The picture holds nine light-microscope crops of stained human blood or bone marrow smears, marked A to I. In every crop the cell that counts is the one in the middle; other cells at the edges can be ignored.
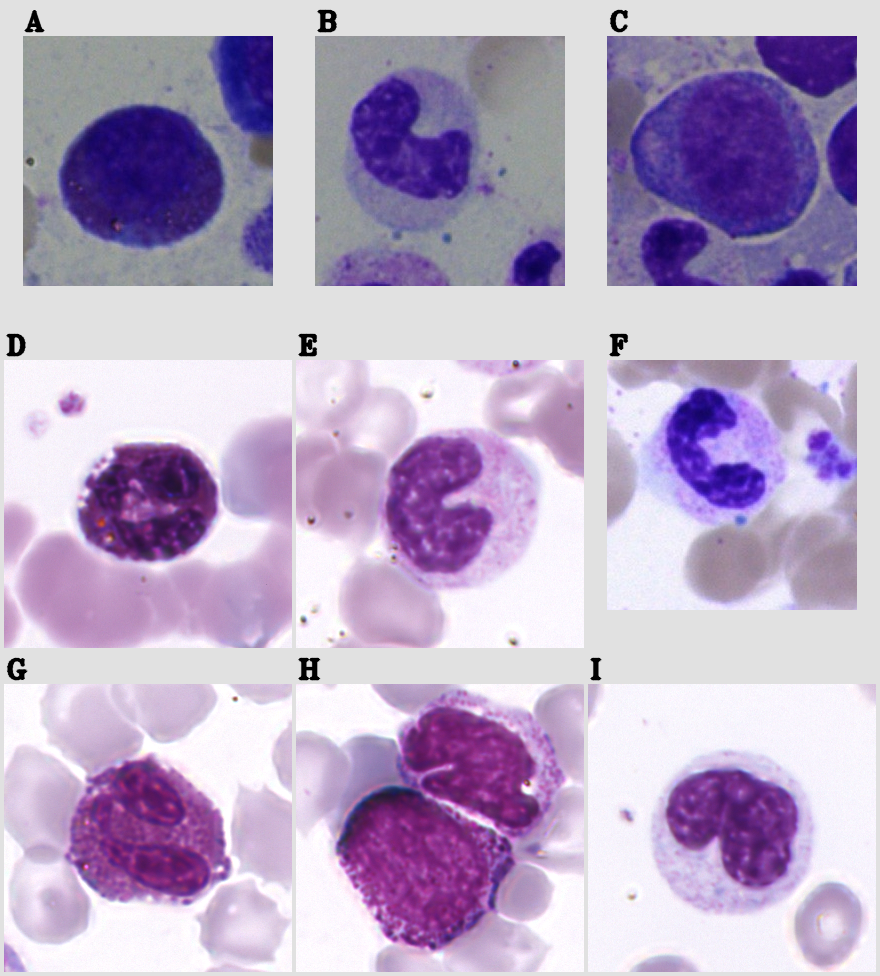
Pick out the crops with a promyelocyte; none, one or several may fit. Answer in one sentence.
Found at the centre of crops C and H are promyelocytes.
